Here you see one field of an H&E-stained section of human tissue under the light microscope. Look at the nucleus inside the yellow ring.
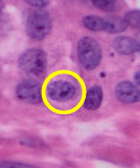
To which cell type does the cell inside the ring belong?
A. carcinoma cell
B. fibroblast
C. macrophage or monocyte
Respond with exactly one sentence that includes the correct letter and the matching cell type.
In agreement with option C, the cell inside the ring is a macrophage or monocyte.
